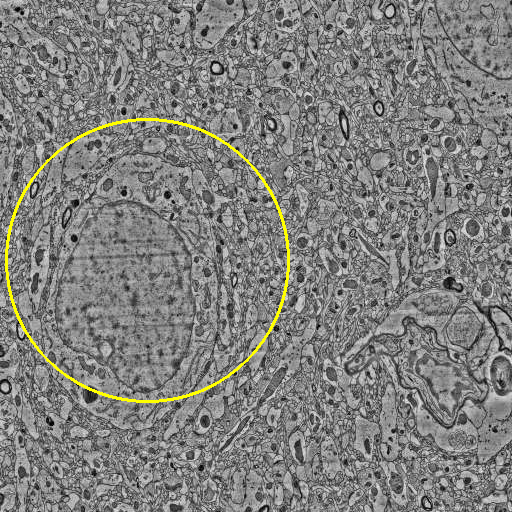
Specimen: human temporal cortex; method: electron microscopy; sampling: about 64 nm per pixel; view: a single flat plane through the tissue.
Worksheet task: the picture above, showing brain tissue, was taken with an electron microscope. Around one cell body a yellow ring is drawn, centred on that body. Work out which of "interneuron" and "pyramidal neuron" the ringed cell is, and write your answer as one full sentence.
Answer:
It is an interneuron whose cell body lies at the centre of the yellow ring.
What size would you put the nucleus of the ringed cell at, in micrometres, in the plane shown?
Approximately 12 micrometres long and 9 micrometres wide, in this plane.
